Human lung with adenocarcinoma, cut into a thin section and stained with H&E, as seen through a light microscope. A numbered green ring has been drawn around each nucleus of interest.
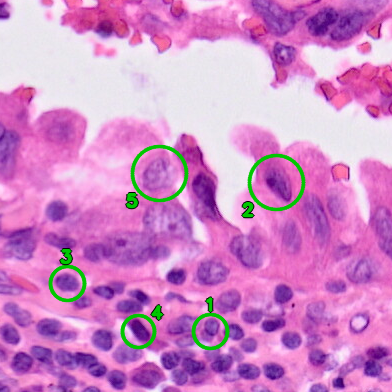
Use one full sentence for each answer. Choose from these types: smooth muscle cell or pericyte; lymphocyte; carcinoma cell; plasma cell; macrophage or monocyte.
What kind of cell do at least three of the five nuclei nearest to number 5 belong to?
Most of the five nuclei nearest to number 5 are those of carcinoma cells.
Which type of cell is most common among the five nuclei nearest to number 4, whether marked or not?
Around number 4, most of the five nearest nuclei are those of lymphocytes.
